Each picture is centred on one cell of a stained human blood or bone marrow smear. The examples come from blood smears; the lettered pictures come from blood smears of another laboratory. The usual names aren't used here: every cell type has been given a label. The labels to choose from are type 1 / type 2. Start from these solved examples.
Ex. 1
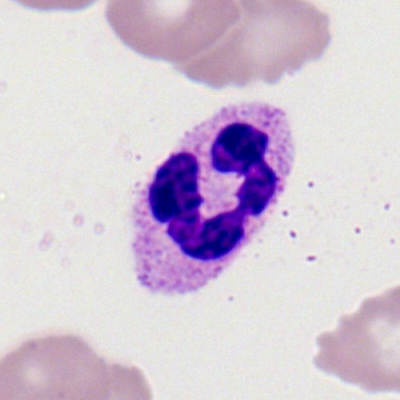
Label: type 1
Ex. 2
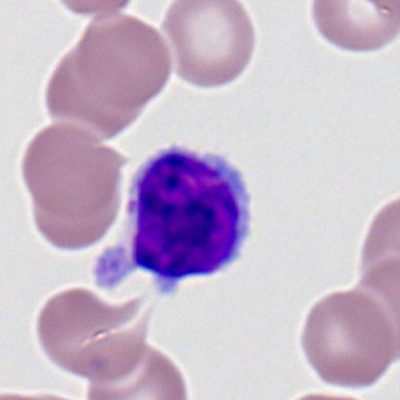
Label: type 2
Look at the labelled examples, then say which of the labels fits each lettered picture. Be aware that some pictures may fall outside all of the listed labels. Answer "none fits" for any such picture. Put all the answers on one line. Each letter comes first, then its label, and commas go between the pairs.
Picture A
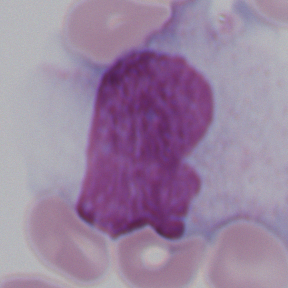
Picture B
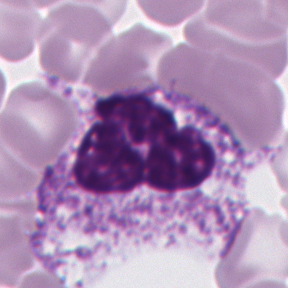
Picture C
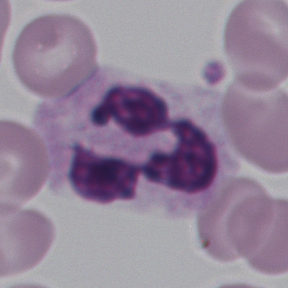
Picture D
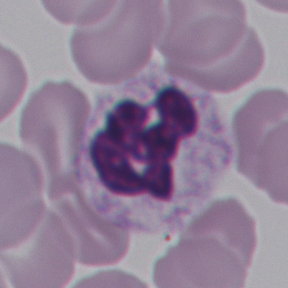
A none fits, B type 1, C type 1, D type 1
